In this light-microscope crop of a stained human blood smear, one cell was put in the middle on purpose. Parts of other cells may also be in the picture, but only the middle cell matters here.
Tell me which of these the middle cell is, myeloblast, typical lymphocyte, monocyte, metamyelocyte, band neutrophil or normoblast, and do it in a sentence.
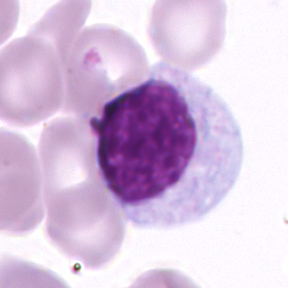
Framed in the middle of the crop is a metamyelocyte.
